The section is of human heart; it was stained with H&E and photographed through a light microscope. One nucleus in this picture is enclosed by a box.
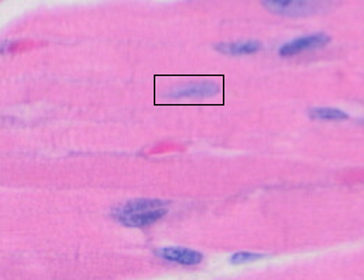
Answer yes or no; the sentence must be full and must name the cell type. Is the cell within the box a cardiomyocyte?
Yes, the cell within the box is, by its type, a cardiomyocyte.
